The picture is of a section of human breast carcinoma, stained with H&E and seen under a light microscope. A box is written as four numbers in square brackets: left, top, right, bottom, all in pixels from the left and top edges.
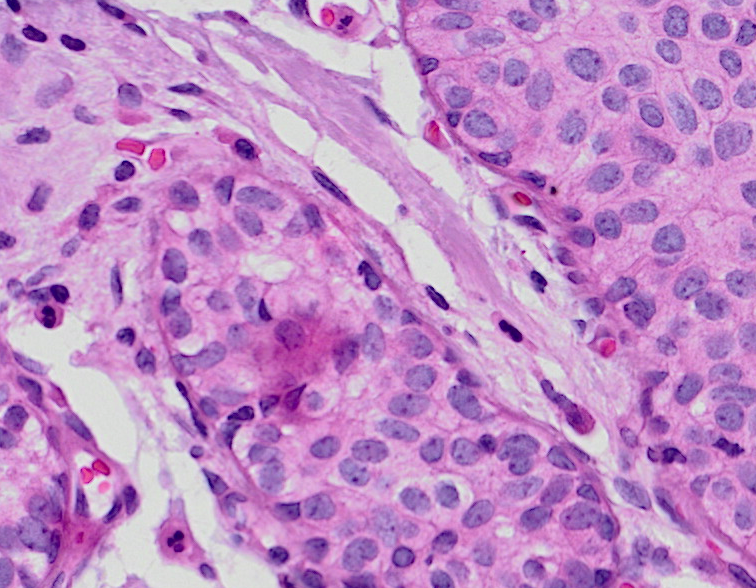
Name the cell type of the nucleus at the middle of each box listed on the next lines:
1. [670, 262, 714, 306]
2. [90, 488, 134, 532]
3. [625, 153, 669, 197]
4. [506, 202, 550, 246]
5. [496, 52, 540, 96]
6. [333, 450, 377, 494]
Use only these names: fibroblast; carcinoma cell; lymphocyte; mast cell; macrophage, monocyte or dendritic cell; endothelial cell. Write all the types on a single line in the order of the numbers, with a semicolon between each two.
carcinoma cell; endothelial cell; carcinoma cell; endothelial cell; carcinoma cell; carcinoma cell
